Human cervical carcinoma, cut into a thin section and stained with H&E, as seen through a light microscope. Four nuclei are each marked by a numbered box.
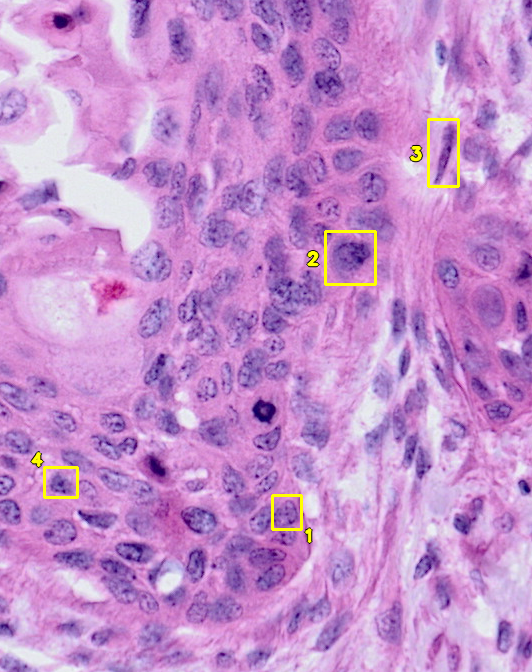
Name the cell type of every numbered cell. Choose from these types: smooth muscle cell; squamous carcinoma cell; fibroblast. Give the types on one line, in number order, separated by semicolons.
squamous carcinoma cell; squamous carcinoma cell; fibroblast; squamous carcinoma cell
